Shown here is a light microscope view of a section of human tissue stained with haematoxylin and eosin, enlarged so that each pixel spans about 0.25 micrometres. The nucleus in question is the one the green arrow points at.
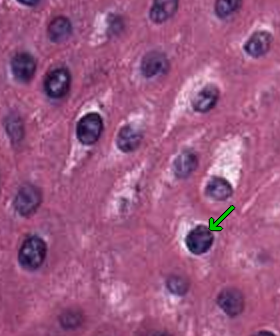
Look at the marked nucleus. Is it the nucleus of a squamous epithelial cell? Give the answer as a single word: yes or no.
yes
